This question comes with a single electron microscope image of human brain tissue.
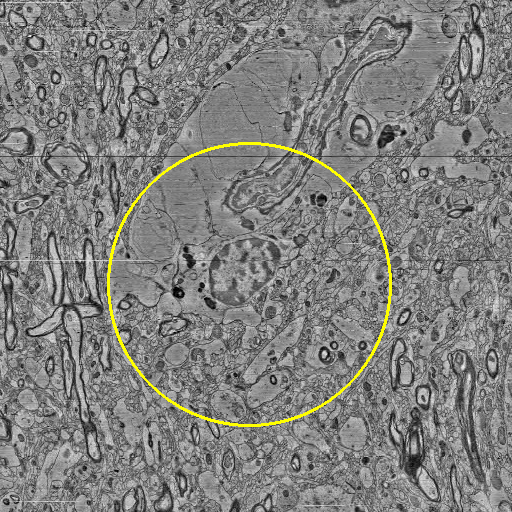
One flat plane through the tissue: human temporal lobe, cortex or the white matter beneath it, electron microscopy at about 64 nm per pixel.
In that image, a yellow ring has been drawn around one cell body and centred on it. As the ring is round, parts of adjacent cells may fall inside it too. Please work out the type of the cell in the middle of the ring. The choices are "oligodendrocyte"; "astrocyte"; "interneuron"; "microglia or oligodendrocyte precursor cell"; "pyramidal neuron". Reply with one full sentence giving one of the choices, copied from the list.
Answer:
Of the choices, a microglial cell or oligodendrocyte precursor cell is the cell sitting in the middle of the ring.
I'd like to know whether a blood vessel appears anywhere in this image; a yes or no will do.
Yes, the picture includes a blood vessel.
